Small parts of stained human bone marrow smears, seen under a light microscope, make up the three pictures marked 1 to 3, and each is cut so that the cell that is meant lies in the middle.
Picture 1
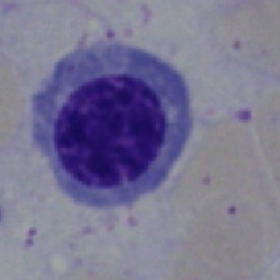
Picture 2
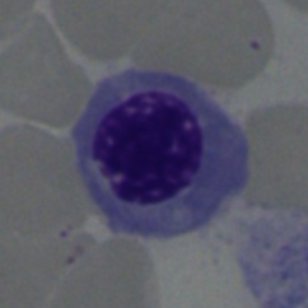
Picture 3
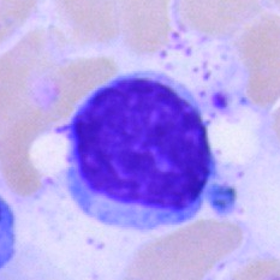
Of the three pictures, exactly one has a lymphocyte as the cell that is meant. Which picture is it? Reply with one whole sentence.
The lymphocyte is the one in picture 3.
